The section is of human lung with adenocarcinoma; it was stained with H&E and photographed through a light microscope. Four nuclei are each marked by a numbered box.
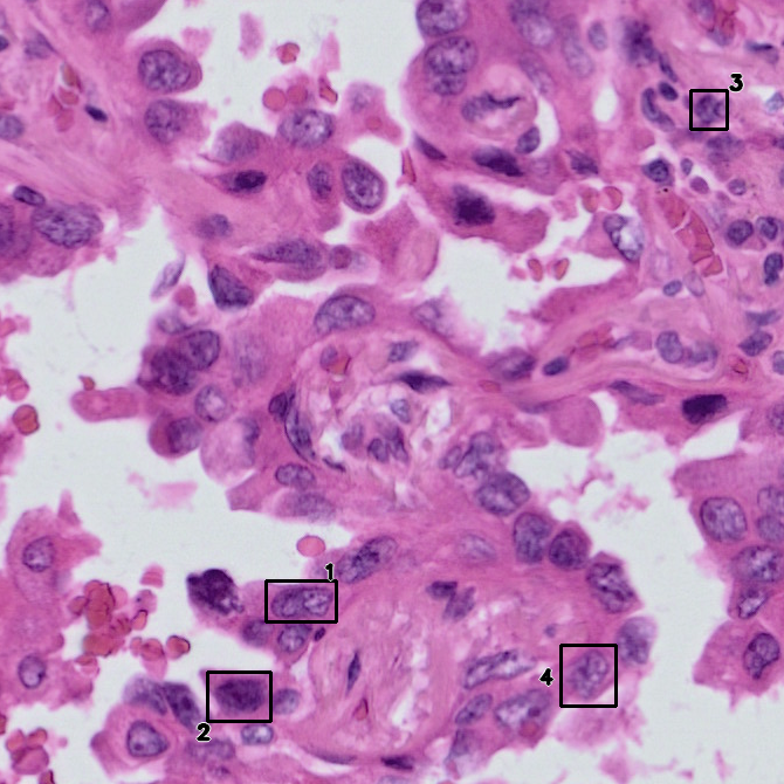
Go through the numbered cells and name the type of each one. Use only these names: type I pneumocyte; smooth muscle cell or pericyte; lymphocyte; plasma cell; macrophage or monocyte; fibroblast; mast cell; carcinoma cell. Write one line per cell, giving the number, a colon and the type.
1: carcinoma cell
2: carcinoma cell
3: plasma cell
4: carcinoma cell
